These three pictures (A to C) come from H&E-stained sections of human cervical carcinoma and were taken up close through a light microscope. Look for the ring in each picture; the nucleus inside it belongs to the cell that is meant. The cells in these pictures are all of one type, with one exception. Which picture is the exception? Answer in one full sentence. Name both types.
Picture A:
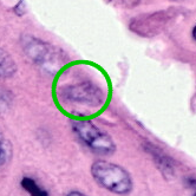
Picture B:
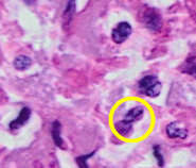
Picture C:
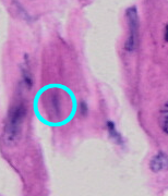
Picture B is the odd one out: it shows a “macrophage or monocyte”, while the others show squamous carcinoma cells.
